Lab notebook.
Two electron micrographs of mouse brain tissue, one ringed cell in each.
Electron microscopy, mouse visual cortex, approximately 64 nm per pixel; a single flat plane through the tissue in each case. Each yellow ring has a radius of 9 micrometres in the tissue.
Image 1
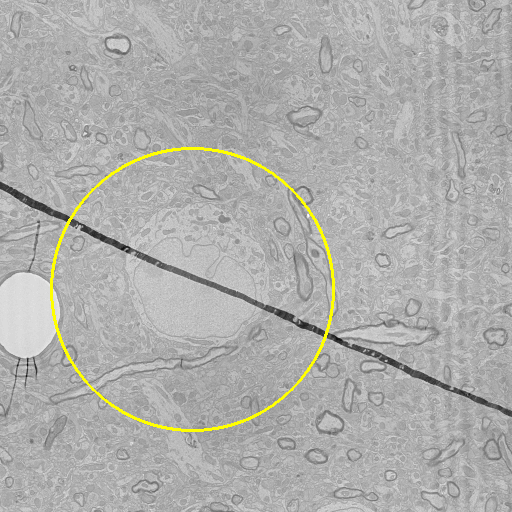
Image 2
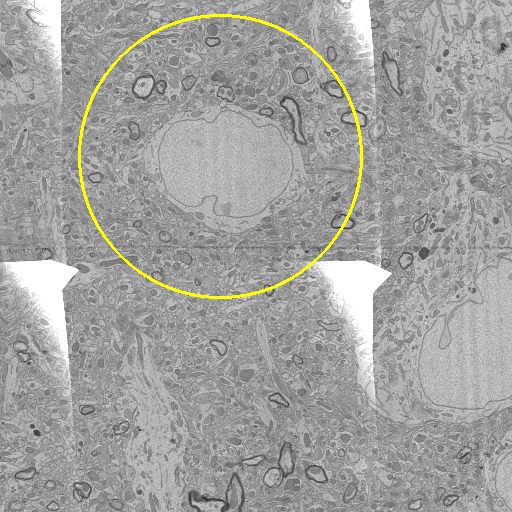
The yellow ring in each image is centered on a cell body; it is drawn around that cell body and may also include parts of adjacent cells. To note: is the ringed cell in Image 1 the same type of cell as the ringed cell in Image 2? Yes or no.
yes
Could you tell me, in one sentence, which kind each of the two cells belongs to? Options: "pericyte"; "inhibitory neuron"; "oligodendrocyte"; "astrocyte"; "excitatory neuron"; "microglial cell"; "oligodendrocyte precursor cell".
Each of the two pictures has an excitatory neuron at the ring centre.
